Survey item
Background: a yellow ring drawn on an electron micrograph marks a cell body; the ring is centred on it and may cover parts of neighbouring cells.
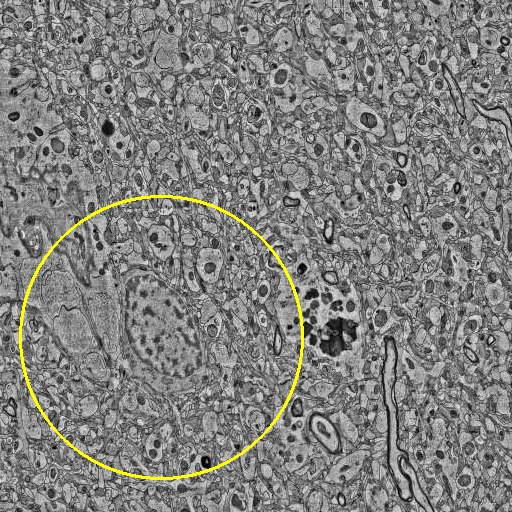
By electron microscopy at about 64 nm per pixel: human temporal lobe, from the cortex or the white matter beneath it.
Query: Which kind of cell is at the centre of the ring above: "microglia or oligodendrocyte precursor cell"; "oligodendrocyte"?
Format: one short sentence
The cell in the middle of the ring is an oligodendrocyte.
